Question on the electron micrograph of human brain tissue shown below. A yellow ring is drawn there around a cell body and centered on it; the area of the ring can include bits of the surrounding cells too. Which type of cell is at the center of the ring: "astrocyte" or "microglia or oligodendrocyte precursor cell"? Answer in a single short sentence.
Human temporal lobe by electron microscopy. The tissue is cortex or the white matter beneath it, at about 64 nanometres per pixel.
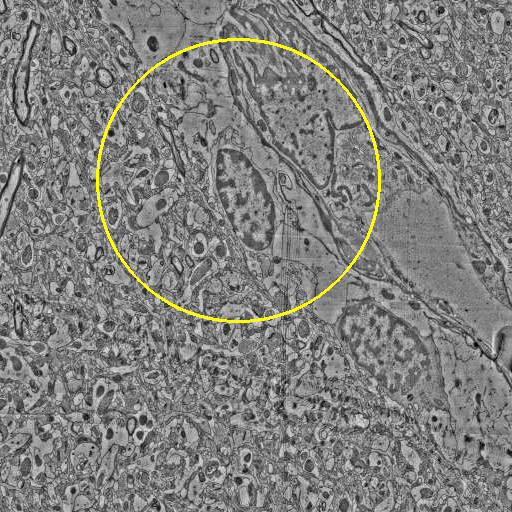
The ring is centered on a microglial cell or oligodendrocyte precursor cell.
